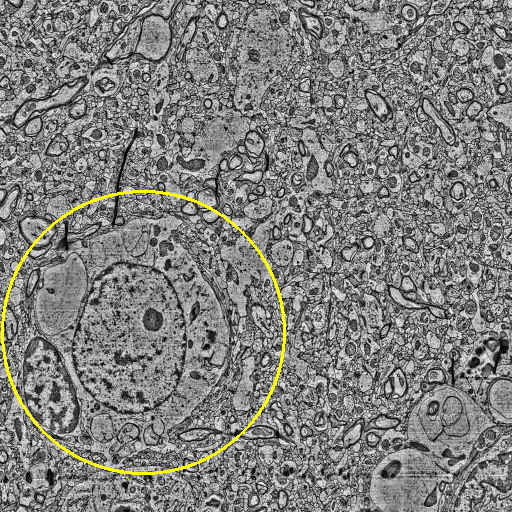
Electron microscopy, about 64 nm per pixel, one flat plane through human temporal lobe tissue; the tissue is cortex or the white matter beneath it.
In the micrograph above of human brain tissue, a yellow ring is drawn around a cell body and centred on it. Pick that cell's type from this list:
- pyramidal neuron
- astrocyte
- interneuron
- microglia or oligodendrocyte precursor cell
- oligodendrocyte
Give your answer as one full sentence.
Going by the list, an astrocyte is the cell on which the yellow ring is centred.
